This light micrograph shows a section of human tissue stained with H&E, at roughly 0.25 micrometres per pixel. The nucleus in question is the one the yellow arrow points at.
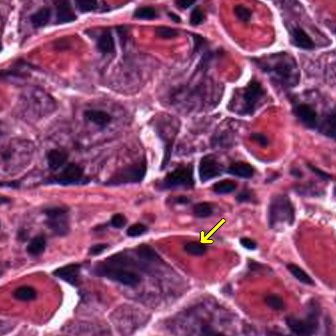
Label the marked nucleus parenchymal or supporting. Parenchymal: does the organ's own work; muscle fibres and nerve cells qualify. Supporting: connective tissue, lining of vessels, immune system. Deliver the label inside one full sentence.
The marked nucleus belongs to a parenchymal cell, and this cell is a parietal cell.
